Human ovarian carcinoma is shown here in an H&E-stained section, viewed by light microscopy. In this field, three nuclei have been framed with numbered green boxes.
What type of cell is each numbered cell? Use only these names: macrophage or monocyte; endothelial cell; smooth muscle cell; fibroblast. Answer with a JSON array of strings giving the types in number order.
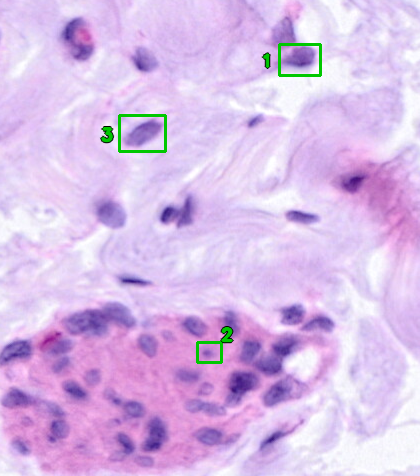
["fibroblast", "smooth muscle cell", "fibroblast"]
